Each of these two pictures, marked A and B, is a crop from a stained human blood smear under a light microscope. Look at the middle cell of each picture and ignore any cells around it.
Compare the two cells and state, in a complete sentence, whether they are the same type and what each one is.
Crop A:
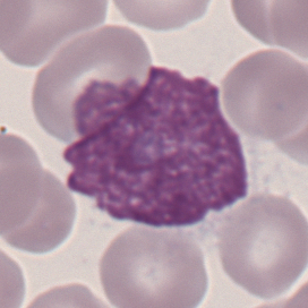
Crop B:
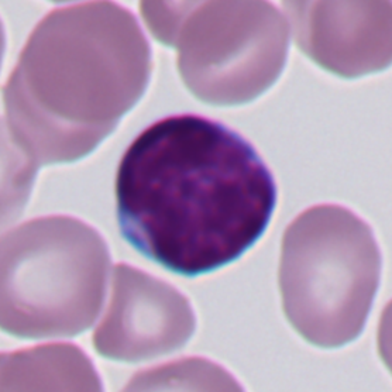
No, a smudge cell is what crop A shows, and a typical lymphocyte is what crop B shows.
